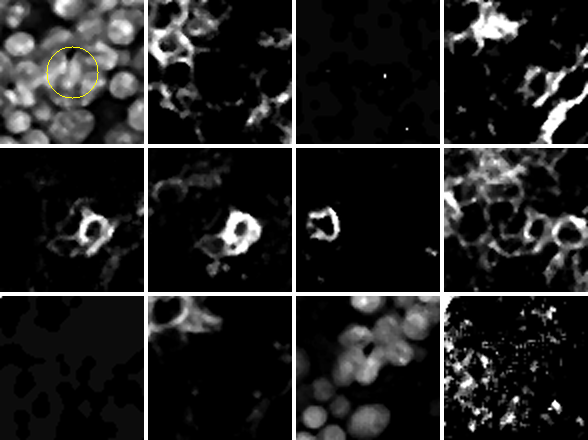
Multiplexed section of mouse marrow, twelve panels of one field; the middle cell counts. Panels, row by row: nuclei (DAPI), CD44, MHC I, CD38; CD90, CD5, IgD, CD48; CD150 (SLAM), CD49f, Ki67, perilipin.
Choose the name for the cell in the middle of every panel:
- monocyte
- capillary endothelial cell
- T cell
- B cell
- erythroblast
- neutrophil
erythroblast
